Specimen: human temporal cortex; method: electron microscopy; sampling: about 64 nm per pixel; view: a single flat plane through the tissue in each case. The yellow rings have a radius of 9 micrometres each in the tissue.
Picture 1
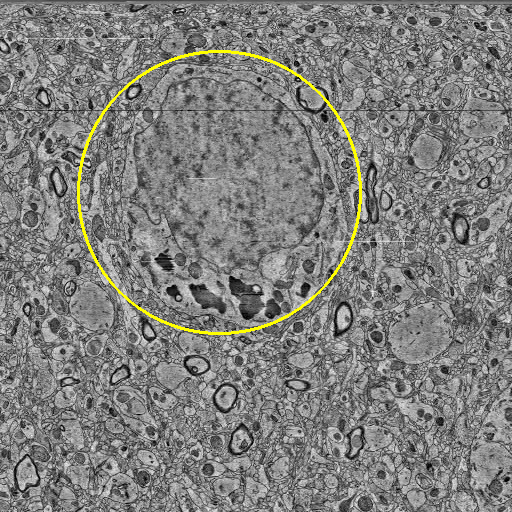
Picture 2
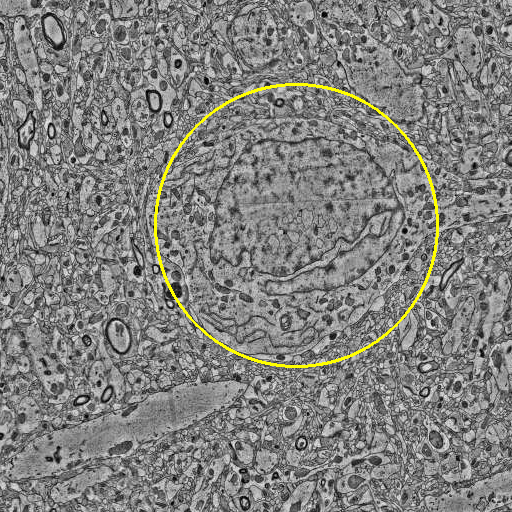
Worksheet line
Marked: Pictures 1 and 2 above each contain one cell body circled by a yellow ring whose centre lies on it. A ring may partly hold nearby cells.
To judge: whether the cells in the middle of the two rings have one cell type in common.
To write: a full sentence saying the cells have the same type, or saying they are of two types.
The cells in the middle of the rings in Picture 1 and Picture 2 have the same type.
